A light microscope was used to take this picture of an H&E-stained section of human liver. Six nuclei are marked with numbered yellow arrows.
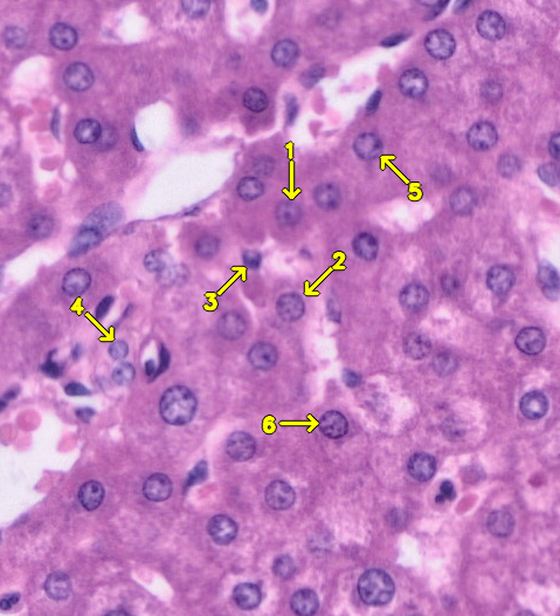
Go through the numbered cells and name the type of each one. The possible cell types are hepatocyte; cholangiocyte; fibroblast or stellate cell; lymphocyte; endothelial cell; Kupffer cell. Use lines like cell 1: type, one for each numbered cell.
cell 1: hepatocyte
cell 2: hepatocyte
cell 3: fibroblast or stellate cell
cell 4: cholangiocyte
cell 5: hepatocyte
cell 6: hepatocyte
